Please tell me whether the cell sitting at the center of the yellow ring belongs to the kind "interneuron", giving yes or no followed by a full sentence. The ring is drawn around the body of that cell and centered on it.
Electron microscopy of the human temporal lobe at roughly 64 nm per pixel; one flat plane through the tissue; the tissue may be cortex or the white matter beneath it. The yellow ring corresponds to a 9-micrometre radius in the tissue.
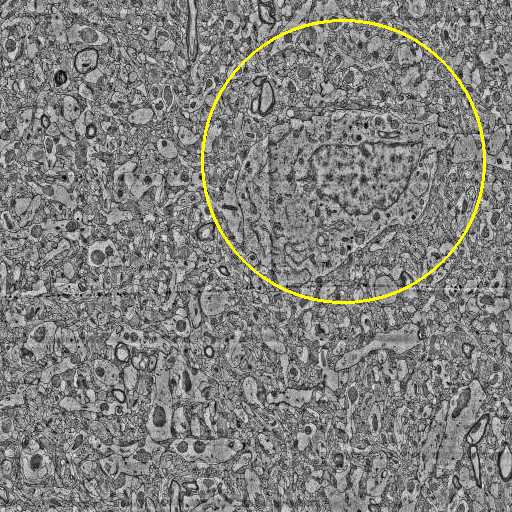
Yes, the cell at the center of the ring in the picture is of that kind.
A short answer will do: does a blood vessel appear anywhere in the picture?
No, there is no blood vessel.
